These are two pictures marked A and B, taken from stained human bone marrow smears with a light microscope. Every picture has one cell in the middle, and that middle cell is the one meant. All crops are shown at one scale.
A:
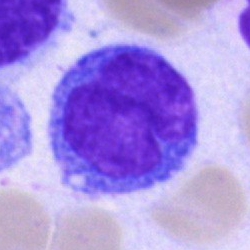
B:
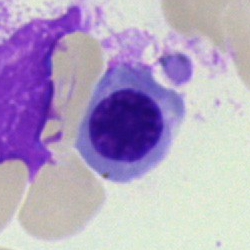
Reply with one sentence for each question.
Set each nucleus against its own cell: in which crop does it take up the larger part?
It is the cell in crop A that is filled more by its nucleus.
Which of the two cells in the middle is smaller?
It is the cell in crop B; the cell in crop A has about 2 times its area.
